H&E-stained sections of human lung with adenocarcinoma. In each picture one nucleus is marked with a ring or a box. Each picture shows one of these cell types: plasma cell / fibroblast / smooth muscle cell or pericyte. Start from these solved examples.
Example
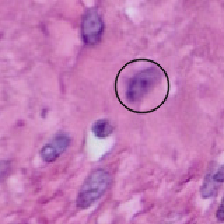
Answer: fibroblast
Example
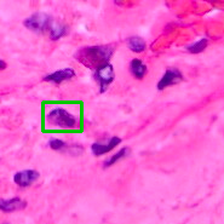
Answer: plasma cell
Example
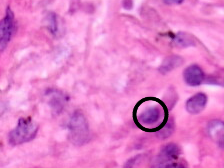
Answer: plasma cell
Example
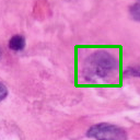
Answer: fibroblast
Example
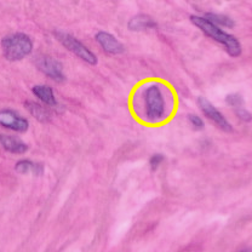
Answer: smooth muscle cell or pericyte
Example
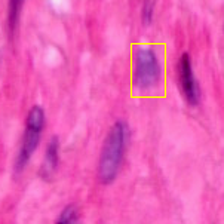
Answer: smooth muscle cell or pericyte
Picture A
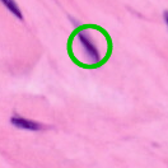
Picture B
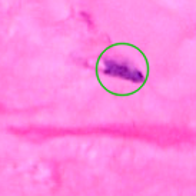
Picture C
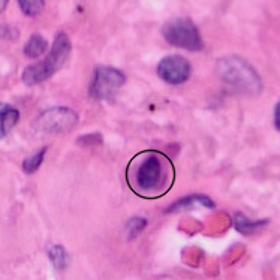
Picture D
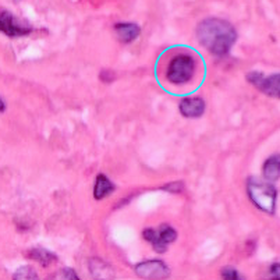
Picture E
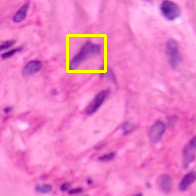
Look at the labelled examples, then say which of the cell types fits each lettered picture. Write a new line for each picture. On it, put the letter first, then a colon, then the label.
A: fibroblast
B: fibroblast
C: plasma cell
D: plasma cell
E: smooth muscle cell or pericyte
